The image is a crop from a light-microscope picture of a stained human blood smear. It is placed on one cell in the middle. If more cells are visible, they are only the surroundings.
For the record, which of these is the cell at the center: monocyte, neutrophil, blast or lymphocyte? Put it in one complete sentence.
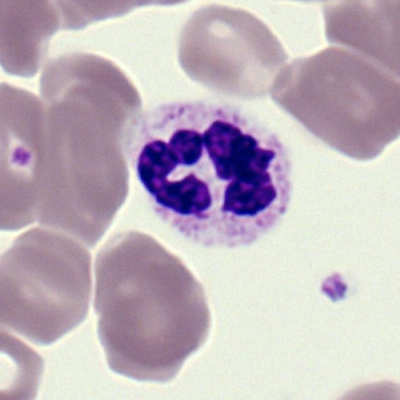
The cell centered in this field of view is a neutrophil.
